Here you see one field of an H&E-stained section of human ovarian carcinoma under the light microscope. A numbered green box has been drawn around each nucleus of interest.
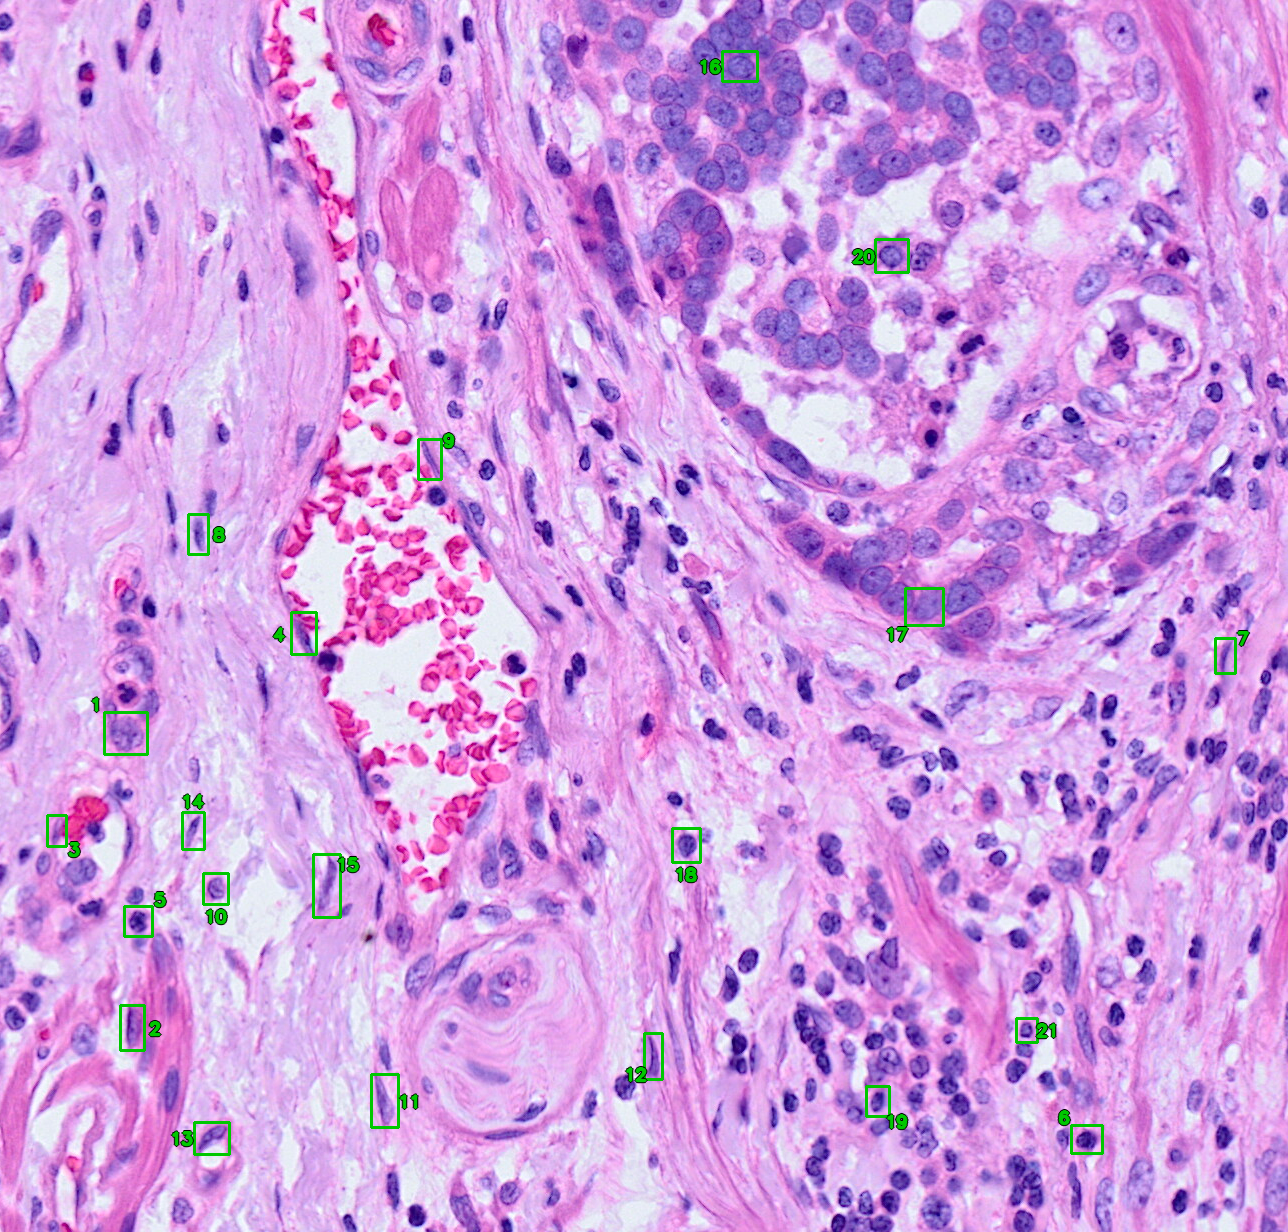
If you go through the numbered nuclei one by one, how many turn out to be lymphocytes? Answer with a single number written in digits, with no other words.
5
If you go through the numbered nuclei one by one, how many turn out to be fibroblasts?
6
